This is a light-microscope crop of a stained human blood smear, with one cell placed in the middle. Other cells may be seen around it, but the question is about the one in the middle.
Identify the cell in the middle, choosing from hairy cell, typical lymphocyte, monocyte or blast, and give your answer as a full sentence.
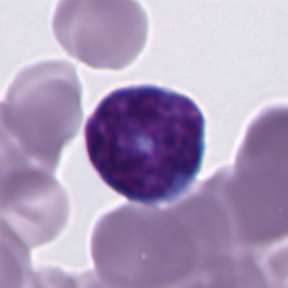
The cell of interest, located centrally, is a typical lymphocyte.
